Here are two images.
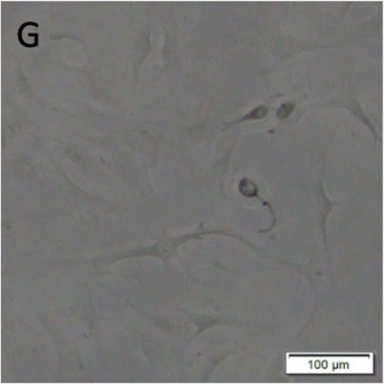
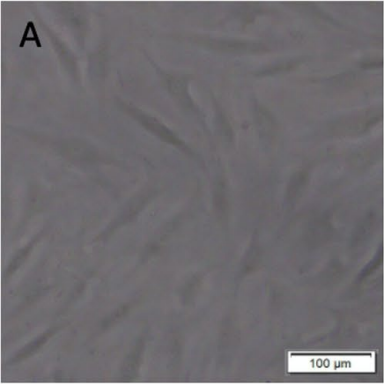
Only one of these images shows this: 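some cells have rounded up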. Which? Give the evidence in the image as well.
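First image: several small round refractile cells lie on a sparse layer of flattened cells. Second image: a dense layer of elongated spindle-shaped cells with no rounded cells. That points to this answer: the first image.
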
